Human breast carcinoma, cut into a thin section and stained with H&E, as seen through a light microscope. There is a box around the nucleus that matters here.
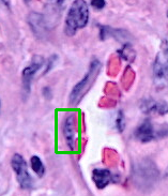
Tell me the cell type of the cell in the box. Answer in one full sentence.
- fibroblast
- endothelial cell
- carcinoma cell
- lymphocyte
It is an endothelial cell that the cell in the box represents.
